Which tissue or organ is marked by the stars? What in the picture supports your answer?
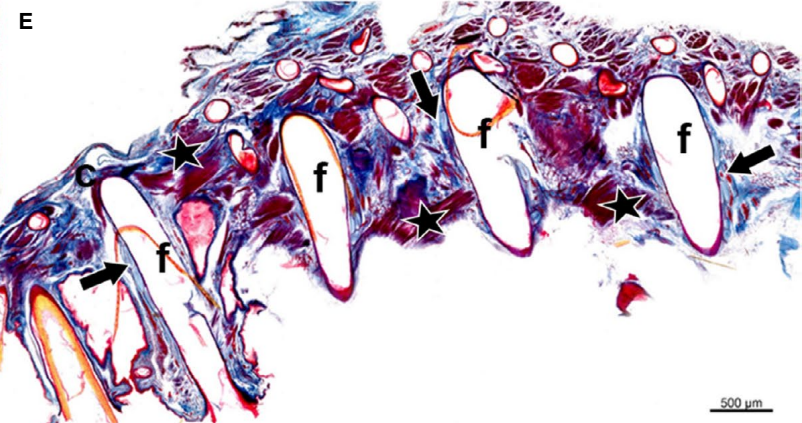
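Muscle fibres. The stars lie on dark red-purple stained tissue between the follicles. This tissue is in bundles distinct from the blue-stained connective tissue around it.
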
